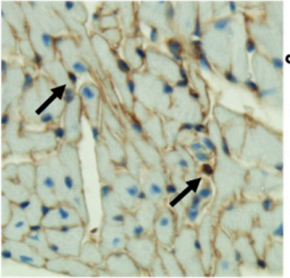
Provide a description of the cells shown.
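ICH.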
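This is heart muscle cut across or obliquely, showing polygonal cardiac muscle cells with pale grey-blue cytoplasm. Blue nuclei are scattered among the fibres. A fine brown staining outlines the borders between muscle cells, and several small cells with strong brown staining sit in the spaces between the fibres.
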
